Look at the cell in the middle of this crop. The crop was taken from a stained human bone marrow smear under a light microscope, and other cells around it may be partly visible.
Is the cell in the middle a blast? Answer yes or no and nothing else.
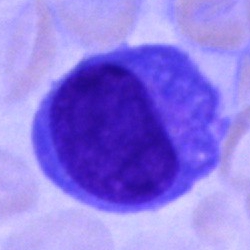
yes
